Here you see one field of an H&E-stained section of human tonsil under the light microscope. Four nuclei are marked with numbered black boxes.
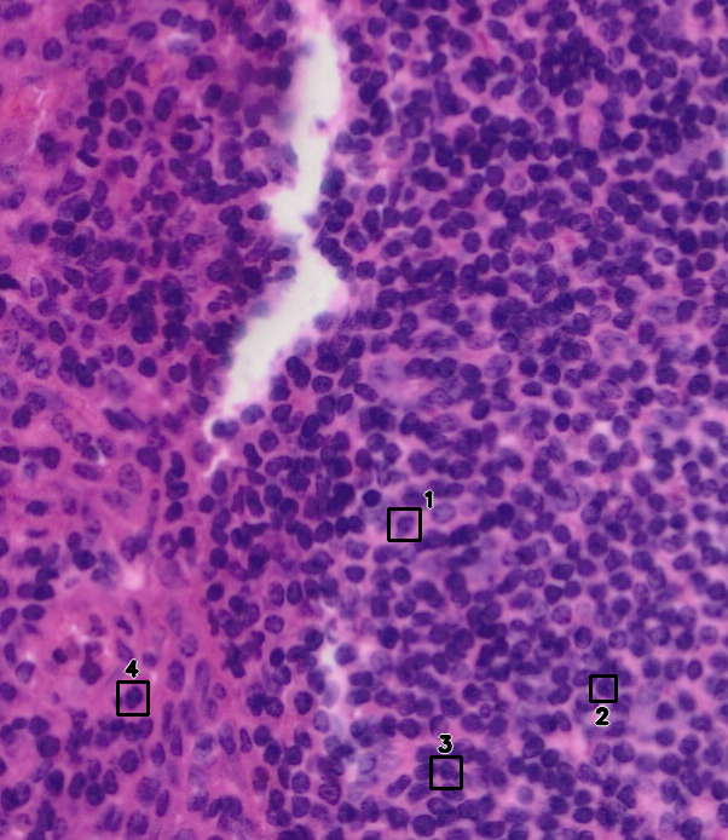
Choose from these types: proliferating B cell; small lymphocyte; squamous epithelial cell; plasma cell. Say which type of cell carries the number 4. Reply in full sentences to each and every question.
The cell that is numbered 4 is a plasma cell.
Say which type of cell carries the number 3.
The cell numbered 3 has been identified as a small lymphocyte.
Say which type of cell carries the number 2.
The cell that carries the label 2 is a small lymphocyte.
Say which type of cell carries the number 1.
At number 1, the marked cell is a small lymphocyte.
